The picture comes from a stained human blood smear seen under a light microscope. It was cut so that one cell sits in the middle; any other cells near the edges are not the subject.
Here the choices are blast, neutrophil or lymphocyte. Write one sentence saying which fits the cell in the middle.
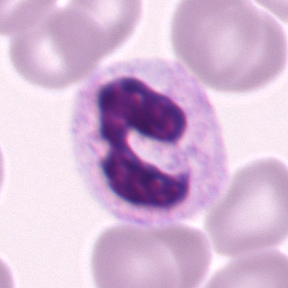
The cell found in the middle of this crop is a neutrophil.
